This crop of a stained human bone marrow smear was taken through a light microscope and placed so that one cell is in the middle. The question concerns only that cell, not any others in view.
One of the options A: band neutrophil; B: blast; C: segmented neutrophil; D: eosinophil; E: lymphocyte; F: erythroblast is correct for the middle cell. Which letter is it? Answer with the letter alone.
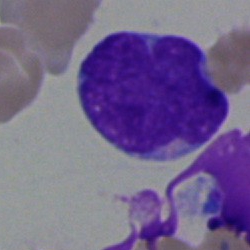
B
